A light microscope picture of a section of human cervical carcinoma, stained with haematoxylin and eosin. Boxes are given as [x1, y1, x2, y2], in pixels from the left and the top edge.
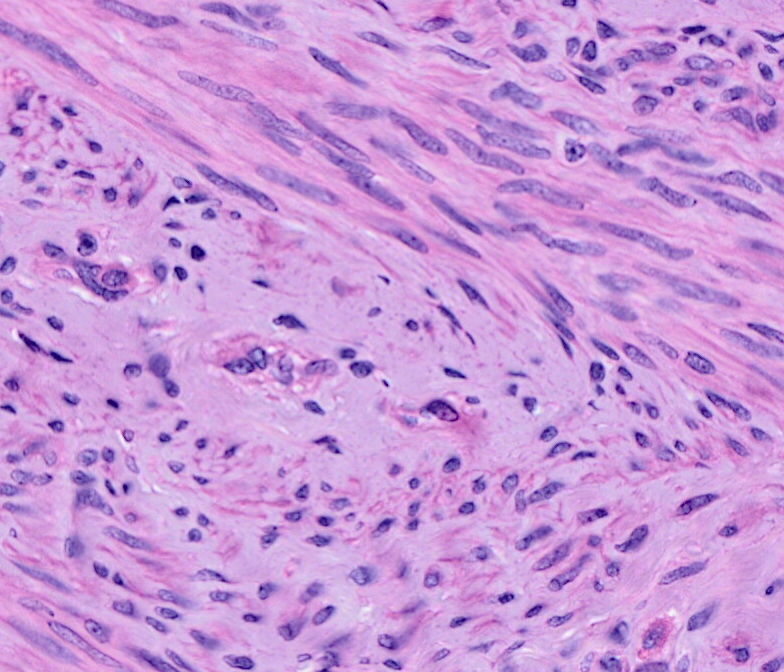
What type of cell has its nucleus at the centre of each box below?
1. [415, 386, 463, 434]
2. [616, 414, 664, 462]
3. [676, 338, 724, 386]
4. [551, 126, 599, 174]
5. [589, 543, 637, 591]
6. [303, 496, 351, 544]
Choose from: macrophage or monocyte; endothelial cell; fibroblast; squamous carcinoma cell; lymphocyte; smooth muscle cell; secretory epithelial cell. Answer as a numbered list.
1. endothelial cell
2. smooth muscle cell
3. smooth muscle cell
4. lymphocyte
5. smooth muscle cell
6. smooth muscle cell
